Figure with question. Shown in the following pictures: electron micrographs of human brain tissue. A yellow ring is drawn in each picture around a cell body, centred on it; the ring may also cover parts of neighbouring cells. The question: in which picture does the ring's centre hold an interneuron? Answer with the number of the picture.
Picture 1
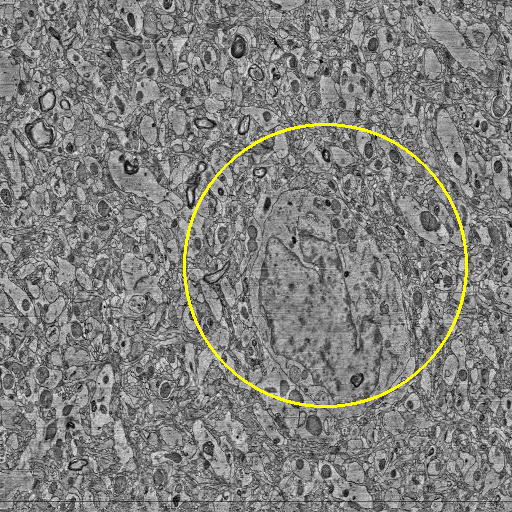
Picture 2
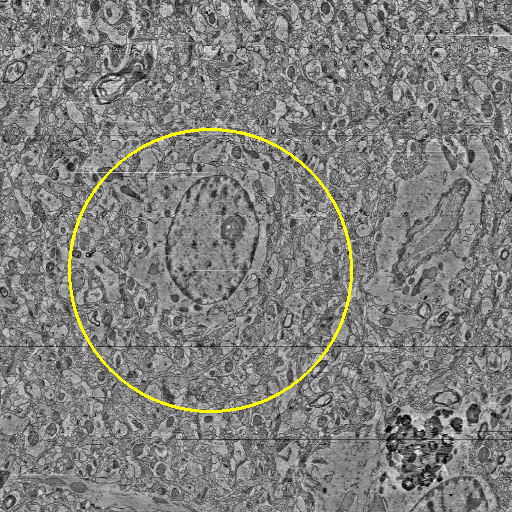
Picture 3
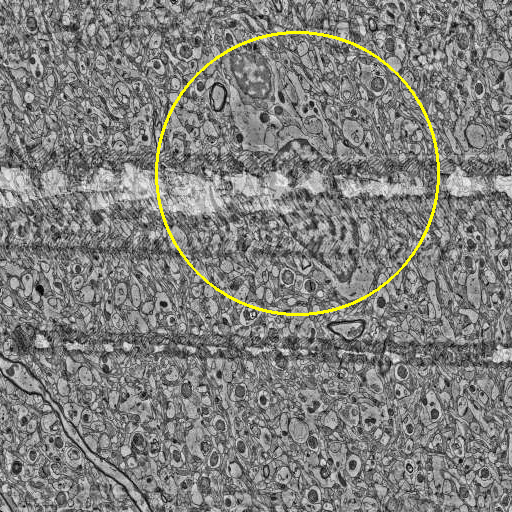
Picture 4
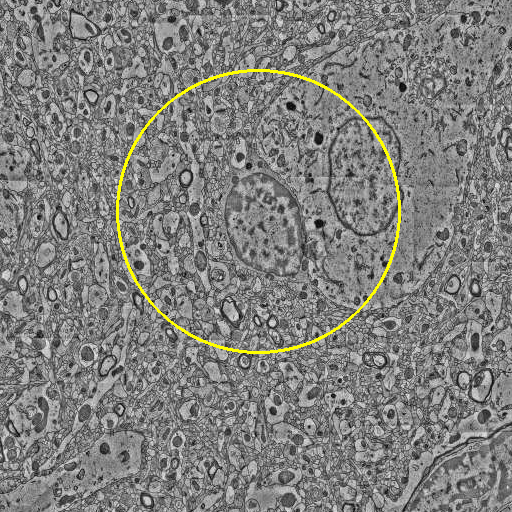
1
